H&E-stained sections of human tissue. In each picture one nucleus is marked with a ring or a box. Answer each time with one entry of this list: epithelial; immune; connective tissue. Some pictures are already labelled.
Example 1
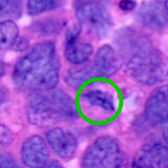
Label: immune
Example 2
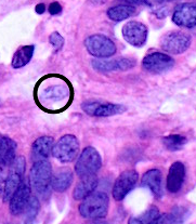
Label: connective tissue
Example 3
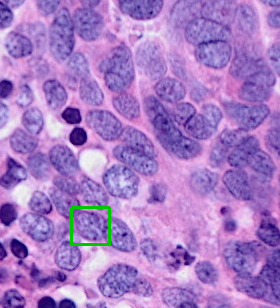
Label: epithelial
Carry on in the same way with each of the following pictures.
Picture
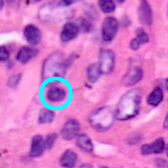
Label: immune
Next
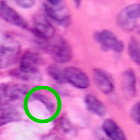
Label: epithelial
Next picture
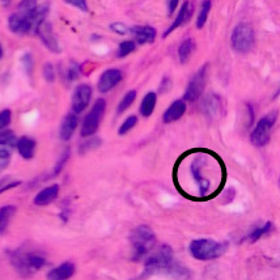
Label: connective tissue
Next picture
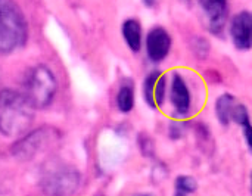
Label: immune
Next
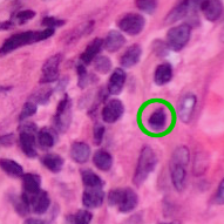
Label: immune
